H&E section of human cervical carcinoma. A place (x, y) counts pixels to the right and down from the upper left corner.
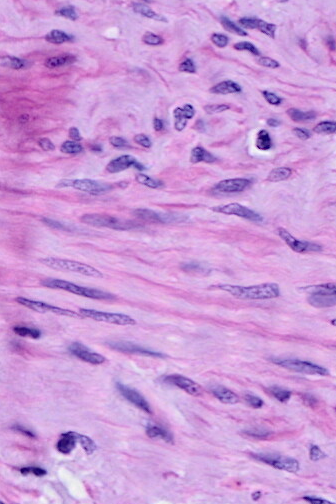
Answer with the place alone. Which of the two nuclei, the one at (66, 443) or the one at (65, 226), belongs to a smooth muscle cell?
(65, 226)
